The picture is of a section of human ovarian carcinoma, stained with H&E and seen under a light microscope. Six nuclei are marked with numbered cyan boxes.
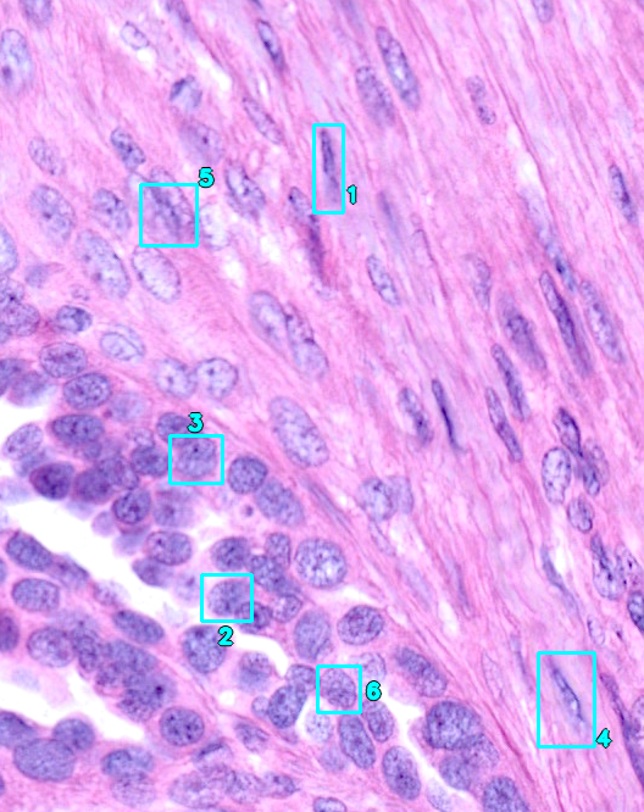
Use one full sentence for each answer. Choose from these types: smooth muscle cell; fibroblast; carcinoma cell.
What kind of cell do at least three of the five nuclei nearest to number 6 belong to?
The majority of the five nuclei closest to number 6 belong to carcinoma cells.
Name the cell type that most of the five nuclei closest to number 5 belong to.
The majority of the five nuclei closest to number 5 belong to fibroblasts.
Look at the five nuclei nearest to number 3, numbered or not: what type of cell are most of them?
Carcinoma cells account for more than half of the five nuclei nearest to number 3.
